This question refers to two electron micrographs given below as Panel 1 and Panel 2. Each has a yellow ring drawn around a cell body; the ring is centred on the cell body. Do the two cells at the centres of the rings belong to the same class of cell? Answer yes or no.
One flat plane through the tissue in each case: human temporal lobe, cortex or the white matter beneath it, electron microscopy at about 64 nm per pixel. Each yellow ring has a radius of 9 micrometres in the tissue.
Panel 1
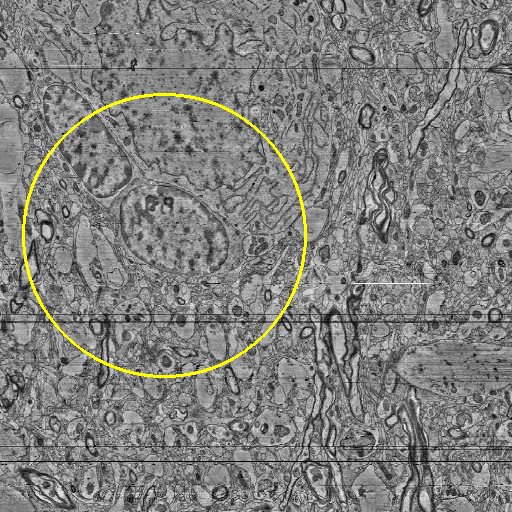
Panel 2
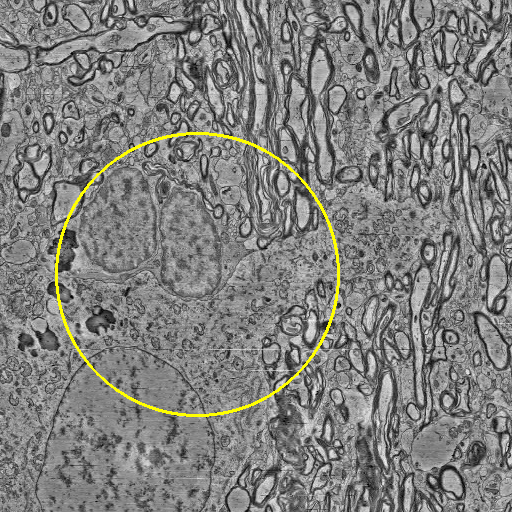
yes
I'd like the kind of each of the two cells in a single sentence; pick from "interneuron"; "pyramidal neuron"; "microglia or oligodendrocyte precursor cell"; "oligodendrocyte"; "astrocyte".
The first and the second cell are each an oligodendrocyte.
